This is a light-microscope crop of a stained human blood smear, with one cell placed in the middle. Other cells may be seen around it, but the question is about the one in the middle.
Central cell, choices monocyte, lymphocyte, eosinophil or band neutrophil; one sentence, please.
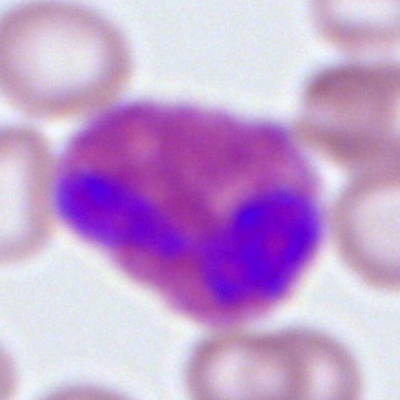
The middle of this crop is occupied by an eosinophil.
